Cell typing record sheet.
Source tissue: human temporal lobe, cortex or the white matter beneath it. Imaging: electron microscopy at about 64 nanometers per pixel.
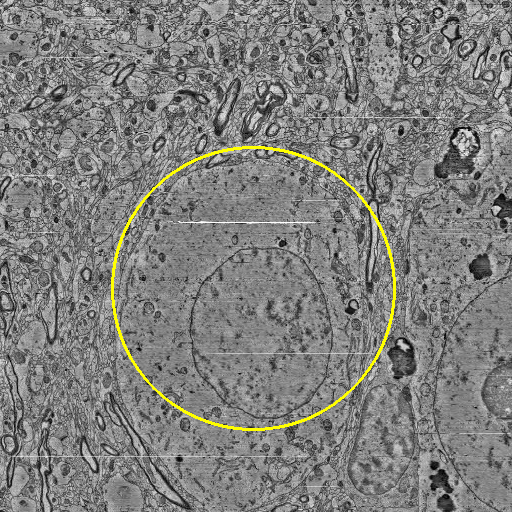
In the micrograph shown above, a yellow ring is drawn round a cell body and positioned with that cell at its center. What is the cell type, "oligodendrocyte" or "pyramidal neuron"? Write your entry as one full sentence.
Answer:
The cell body at the center of the ring belongs to a pyramidal neuron.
